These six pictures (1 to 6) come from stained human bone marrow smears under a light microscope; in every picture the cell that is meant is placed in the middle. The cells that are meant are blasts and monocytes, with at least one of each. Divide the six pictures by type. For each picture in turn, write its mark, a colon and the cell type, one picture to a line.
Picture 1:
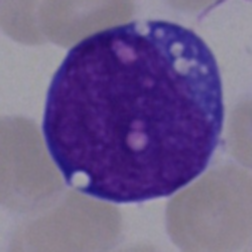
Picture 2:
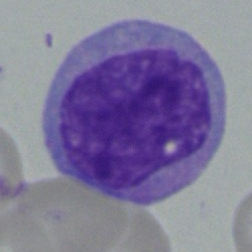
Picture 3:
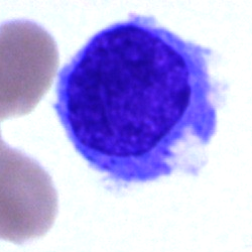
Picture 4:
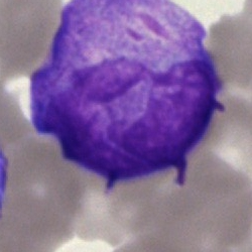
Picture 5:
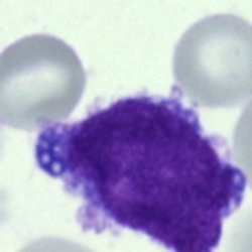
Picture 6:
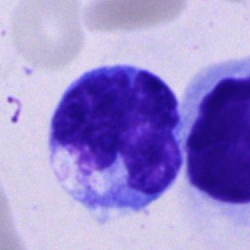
1: blast
2: monocyte
3: blast
4: blast
5: blast
6: monocyte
